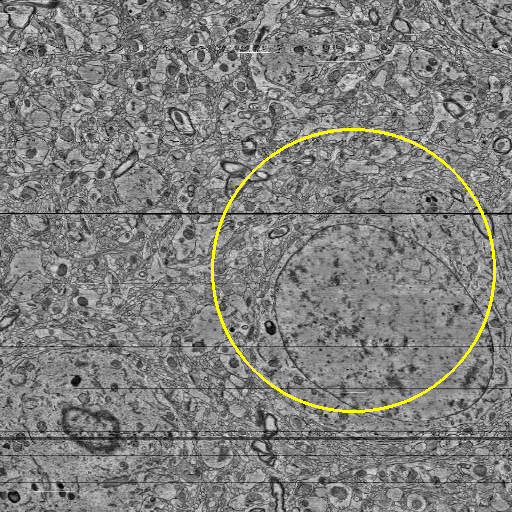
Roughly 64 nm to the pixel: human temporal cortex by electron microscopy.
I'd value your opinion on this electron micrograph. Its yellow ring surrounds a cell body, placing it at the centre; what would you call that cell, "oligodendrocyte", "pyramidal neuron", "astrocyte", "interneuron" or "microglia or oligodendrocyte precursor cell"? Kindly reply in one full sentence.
It is a pyramidal neuron that sits centred within the yellow ring in this micrograph.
